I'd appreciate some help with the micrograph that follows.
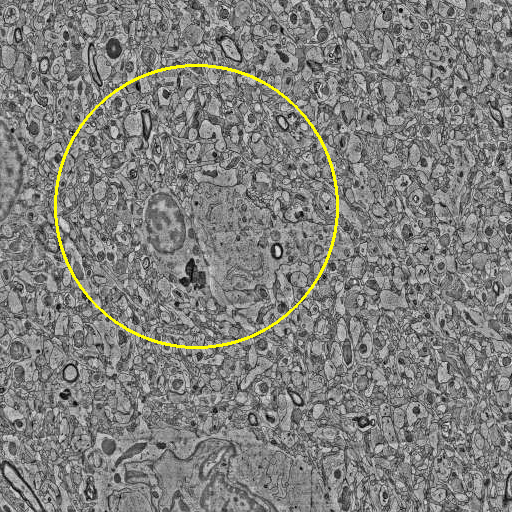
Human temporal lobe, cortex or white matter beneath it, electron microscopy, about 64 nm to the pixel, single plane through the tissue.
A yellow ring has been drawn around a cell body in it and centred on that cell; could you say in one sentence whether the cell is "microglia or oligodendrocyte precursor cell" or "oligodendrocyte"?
It is an oligodendrocyte at the centre of the ring.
